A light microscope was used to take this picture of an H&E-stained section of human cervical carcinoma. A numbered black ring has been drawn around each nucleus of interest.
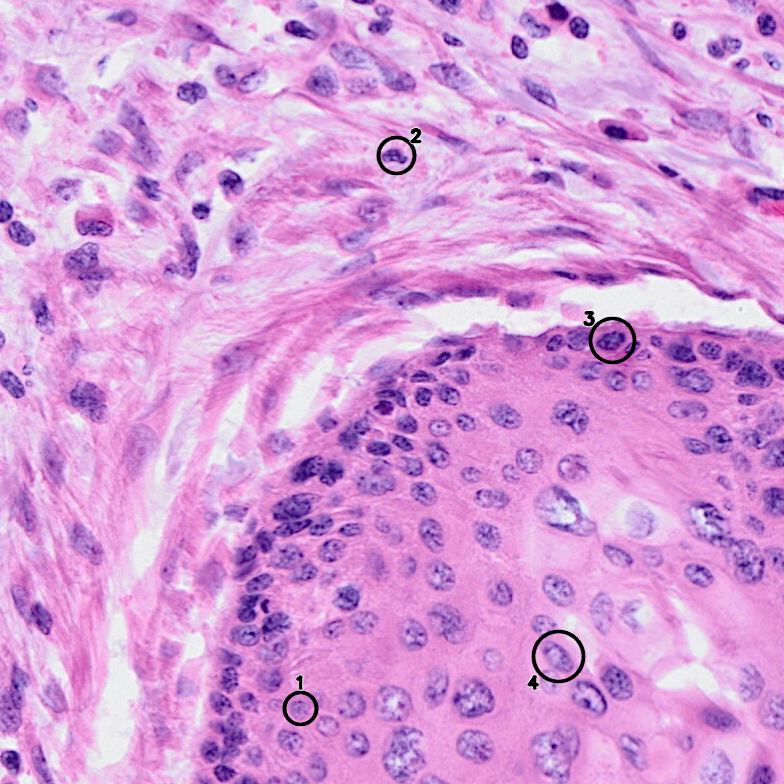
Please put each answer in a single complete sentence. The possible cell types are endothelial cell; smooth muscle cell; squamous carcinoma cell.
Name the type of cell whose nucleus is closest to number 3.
Number 3 lies closest to the nucleus of a squamous carcinoma cell.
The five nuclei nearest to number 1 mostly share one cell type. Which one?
Most of the five nuclei nearest to number 1 are those of squamous carcinoma cells.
